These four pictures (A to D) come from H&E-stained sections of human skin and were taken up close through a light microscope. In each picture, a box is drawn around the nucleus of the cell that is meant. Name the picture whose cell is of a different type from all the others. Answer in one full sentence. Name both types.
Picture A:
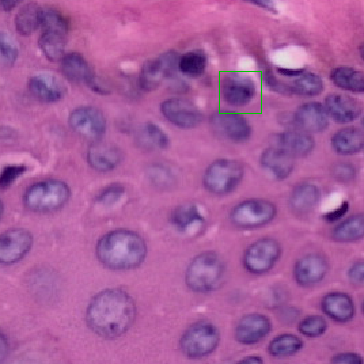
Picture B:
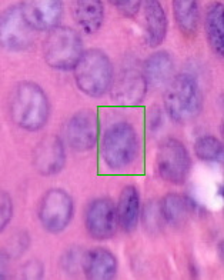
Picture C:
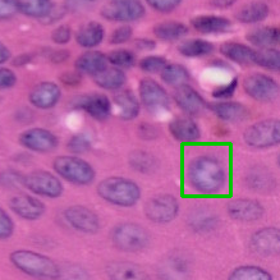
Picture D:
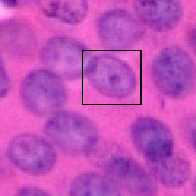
The others show suprabasal keratinocytes, but picture A shows a basal keratinocyte.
